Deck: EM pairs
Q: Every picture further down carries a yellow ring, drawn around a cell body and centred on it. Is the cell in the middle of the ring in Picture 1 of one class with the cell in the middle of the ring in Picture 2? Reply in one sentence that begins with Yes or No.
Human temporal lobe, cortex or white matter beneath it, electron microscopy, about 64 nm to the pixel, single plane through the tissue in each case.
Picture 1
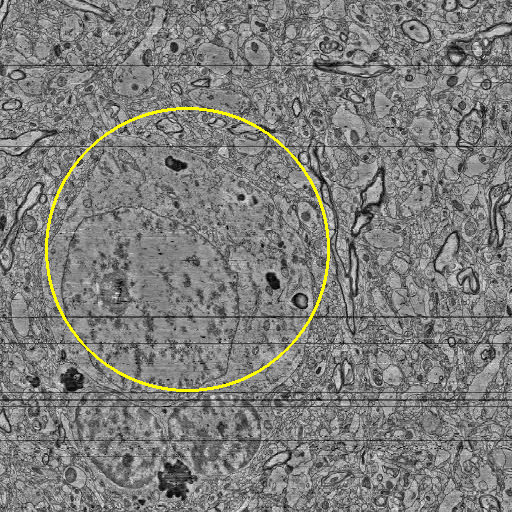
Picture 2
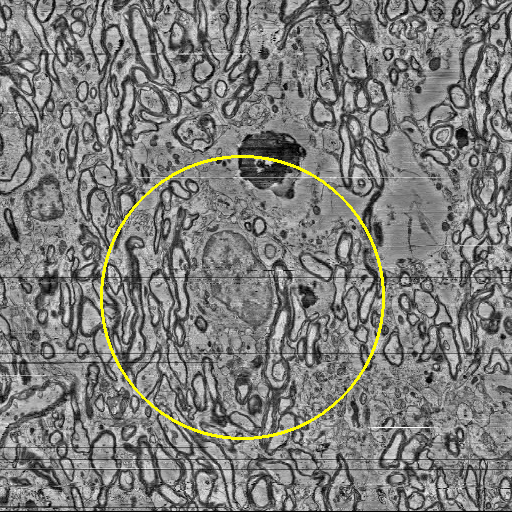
No, the cell centred in the ring of Picture 1 and the one in Picture 2 belong to separate classes.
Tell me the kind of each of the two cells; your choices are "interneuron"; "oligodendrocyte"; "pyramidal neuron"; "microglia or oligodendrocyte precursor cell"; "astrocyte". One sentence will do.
The ringed cell is a pyramidal neuron in the first picture and an oligodendrocyte in the second picture.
